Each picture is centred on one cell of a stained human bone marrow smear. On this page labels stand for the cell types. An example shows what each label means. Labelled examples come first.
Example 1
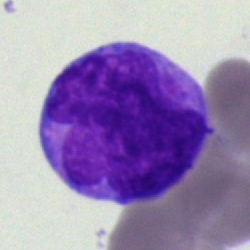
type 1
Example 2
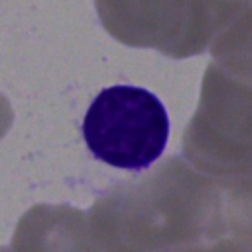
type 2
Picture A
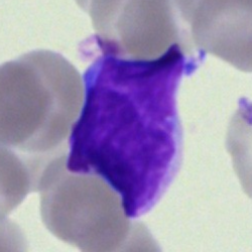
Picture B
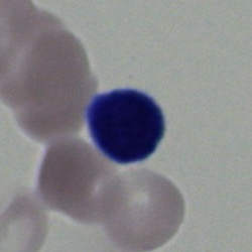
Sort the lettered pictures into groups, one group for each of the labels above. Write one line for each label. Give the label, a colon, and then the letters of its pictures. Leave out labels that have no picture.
type 1: A
type 2: B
